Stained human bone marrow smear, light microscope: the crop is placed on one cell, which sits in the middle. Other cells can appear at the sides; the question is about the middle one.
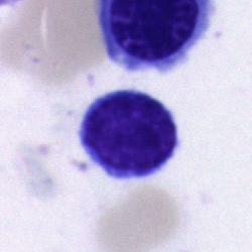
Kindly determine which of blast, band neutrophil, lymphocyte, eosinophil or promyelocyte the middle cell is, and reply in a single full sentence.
The cell of interest, located centrally, is a lymphocyte.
